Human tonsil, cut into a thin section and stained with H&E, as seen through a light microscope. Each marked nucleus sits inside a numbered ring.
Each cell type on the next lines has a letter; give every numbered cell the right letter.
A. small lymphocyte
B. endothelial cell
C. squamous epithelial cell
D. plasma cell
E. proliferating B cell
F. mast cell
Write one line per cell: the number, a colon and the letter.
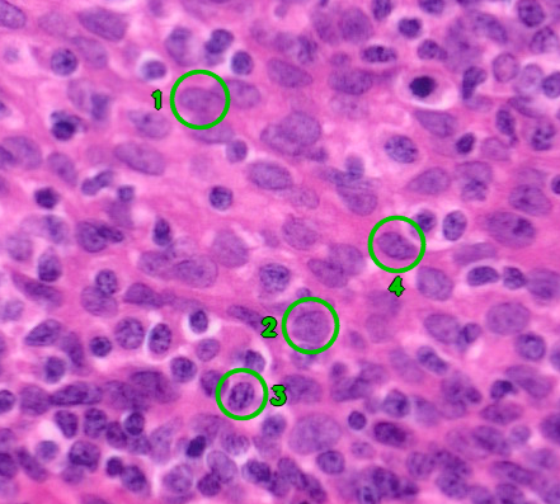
1: C
2: C
3: D
4: C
